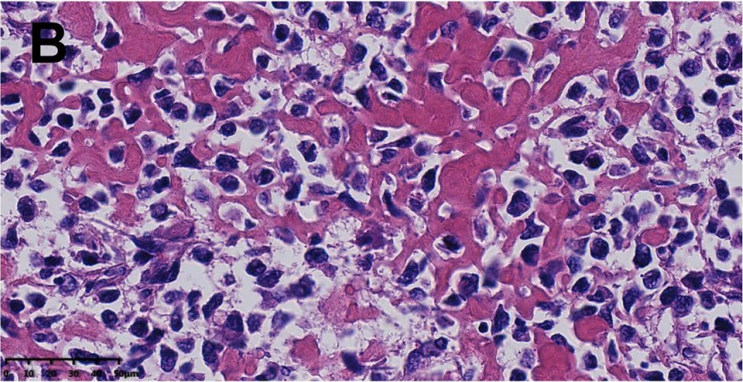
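Highly atypical polyhedral tumor cells lie intimately admixed with eosinophilic osteoid matrix. The cells have enlarged, dark, irregular nuclei of varying size and a rim of pale to clear cytoplasm, while the osteoid forms glassy pink, branching deposits that wrap around and between the cells.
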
